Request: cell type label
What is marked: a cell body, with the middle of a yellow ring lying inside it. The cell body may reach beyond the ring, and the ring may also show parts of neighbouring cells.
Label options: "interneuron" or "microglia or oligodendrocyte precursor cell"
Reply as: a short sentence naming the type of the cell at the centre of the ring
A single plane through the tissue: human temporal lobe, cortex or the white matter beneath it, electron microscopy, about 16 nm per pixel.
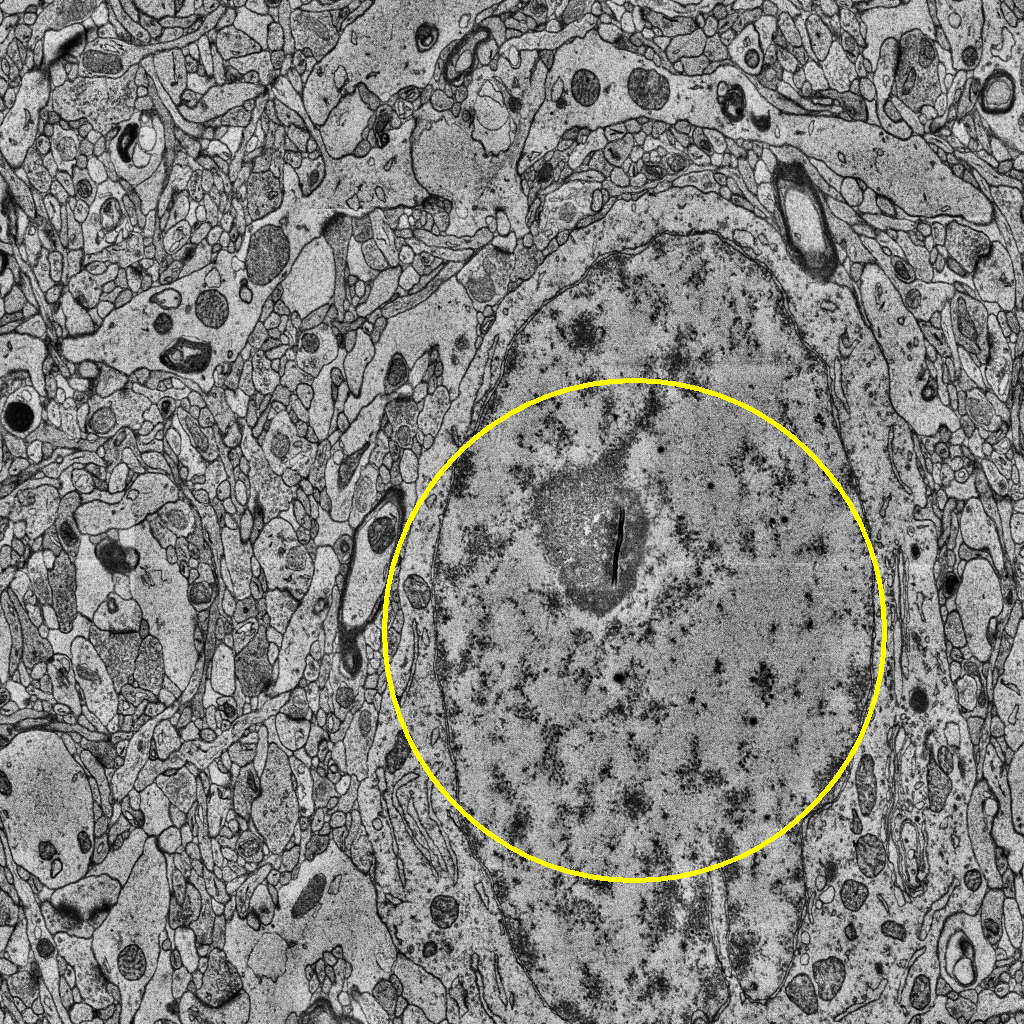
The marked cell body is that of an interneuron.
